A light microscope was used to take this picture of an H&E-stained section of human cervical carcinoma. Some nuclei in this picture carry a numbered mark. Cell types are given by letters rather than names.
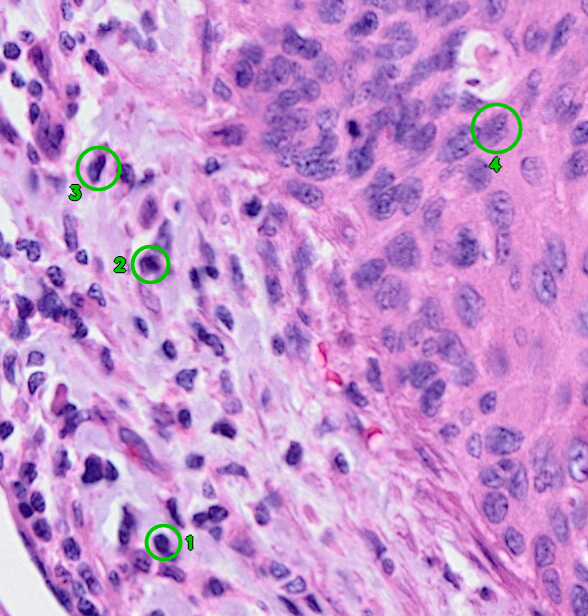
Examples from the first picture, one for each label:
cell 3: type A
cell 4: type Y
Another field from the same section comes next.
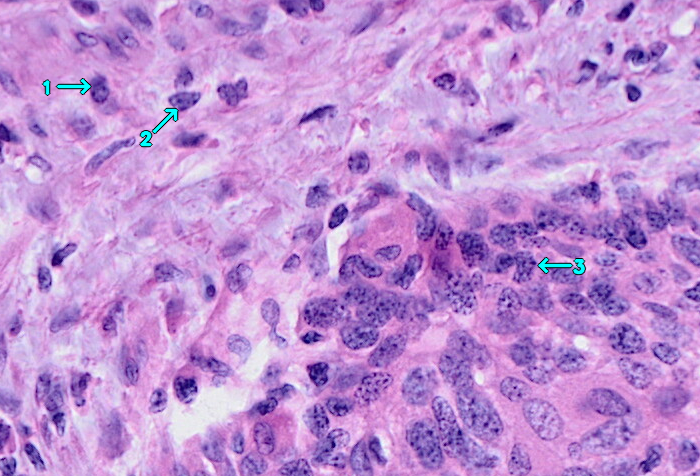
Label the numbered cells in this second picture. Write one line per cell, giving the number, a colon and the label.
1: type A
2: type A
3: type Y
